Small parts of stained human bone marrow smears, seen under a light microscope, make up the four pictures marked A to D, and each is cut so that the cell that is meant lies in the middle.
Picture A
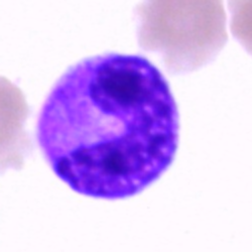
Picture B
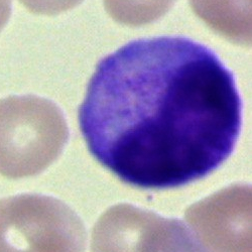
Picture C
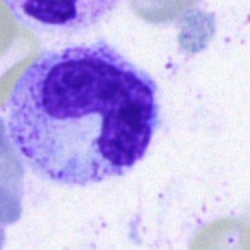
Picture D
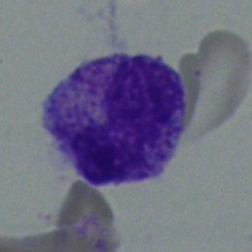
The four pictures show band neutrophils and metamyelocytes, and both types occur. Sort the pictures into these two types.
A: band neutrophil
B: metamyelocyte
C: band neutrophil
D: metamyelocyte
